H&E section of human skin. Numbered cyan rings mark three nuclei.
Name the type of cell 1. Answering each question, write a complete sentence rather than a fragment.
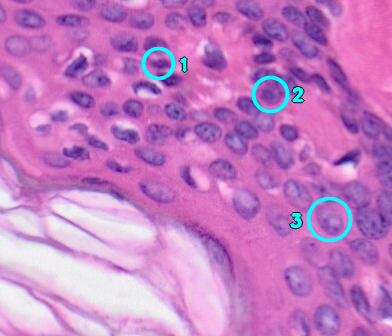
Here, the cell given the number 1 is a basal keratinocyte.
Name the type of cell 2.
The numbered cell 2 is identified here as a basal keratinocyte.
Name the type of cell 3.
At number 3, the marked cell is a suprabasal keratinocyte.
